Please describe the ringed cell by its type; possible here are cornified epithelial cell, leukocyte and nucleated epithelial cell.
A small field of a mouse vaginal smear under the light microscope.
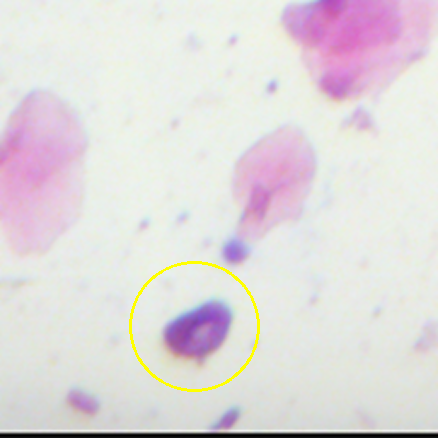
The yellow ring marks a nucleated epithelial cell.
